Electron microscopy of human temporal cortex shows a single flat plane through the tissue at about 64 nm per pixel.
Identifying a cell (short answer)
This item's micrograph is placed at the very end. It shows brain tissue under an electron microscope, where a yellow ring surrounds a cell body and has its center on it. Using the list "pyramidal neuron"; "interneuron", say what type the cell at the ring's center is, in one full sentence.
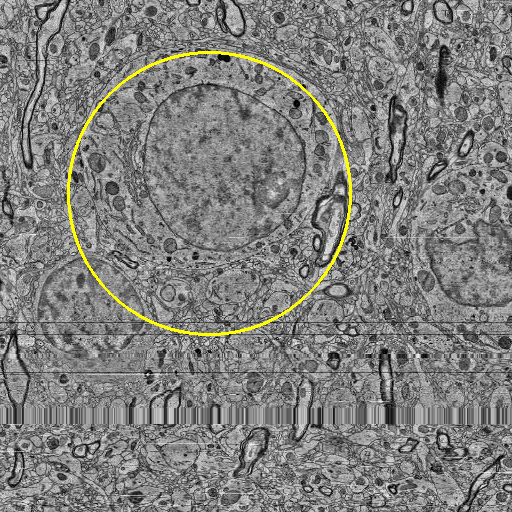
This picture shows an interneuron at the center of the yellow ring drawn on it.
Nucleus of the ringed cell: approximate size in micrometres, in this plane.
Approximately 11 micrometers across in this plane.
